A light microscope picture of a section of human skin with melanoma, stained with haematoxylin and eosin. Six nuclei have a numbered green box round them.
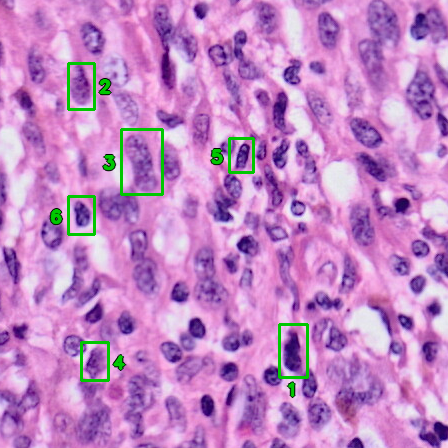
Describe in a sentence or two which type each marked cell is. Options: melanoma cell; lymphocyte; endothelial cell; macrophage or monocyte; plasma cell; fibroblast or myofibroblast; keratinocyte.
Cell 1 is a lymphocyte, cell 2 is a melanoma cell, cell 3 is a melanoma cell, cell 4 is a melanoma cell, cell 5 is a lymphocyte and cell 6 is a lymphocyte.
